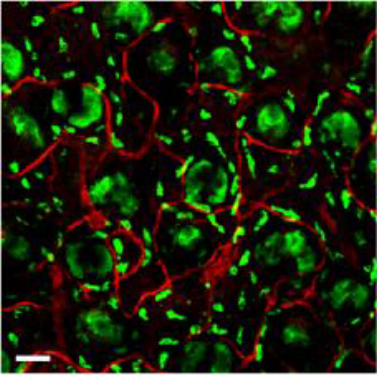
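The red lines form an open meshwork around roundish spaces, and large faint green rings are spaced regularly across the field. Small bright green oval and elongated bodies lie singly or in short rows, many of them aligned along the red lines. They are spread fairly evenly with open space between them, without dense clusters.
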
